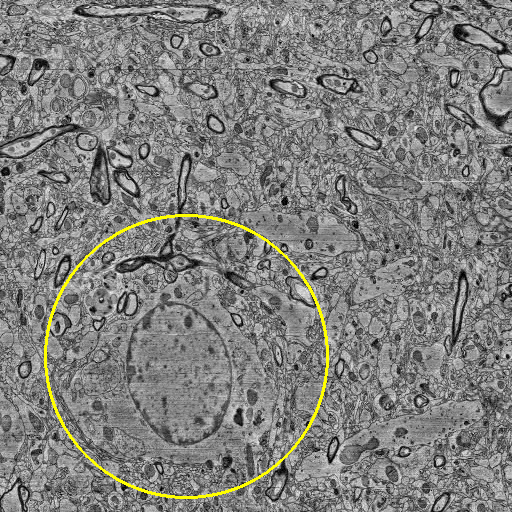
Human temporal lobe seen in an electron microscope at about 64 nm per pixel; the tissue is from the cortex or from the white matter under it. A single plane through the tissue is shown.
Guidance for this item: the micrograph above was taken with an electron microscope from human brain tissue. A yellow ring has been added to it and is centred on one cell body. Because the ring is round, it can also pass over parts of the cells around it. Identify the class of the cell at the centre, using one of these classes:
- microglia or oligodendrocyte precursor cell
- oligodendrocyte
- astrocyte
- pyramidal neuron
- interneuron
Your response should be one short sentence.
The ring surrounds the body of an astrocyte.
